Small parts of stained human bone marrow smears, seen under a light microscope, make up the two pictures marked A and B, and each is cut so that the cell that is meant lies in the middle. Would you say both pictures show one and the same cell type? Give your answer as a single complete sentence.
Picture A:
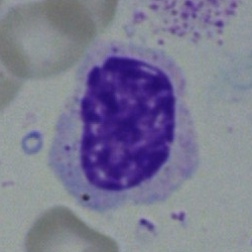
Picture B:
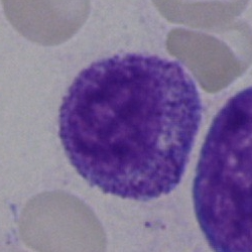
Yes, the two pictures both show myelocytes.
